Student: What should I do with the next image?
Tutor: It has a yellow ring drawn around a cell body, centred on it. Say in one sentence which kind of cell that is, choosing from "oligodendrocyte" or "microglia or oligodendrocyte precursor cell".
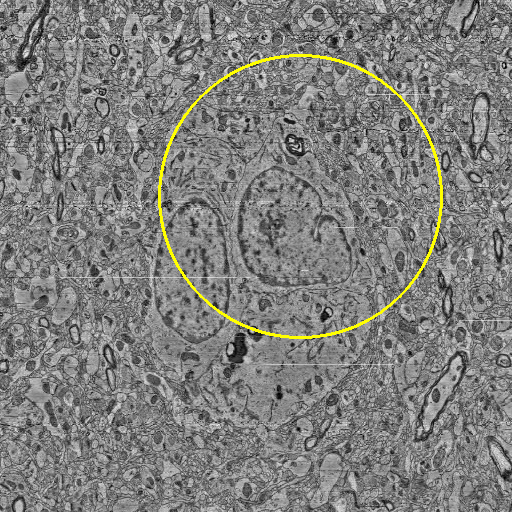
The ring's centre is occupied by a microglial cell or oligodendrocyte precursor cell.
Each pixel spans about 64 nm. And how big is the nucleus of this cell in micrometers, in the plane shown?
The nucleus appears roughly 9 by 6 micrometres in this plane.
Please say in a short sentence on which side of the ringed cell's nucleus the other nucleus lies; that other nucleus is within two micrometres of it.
The other one is to the left of it.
